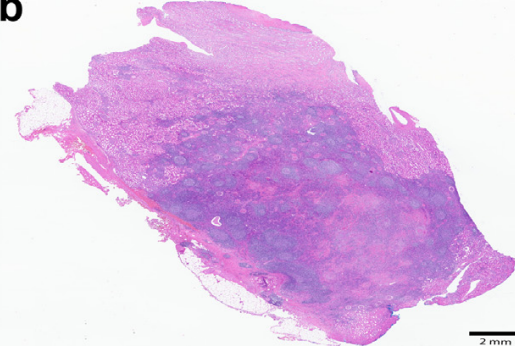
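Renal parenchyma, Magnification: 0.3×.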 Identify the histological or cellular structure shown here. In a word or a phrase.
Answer: Lymphoid follicles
